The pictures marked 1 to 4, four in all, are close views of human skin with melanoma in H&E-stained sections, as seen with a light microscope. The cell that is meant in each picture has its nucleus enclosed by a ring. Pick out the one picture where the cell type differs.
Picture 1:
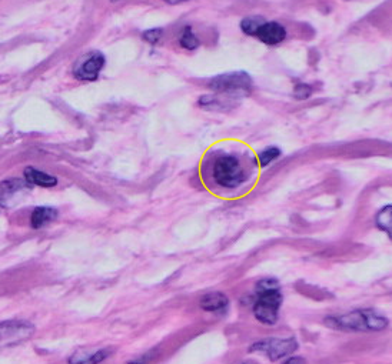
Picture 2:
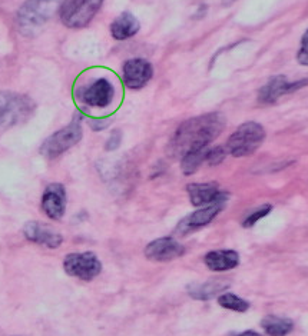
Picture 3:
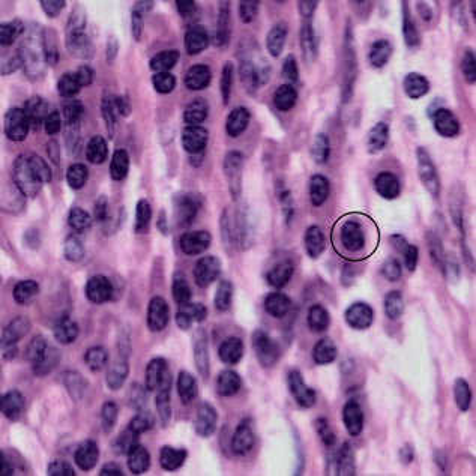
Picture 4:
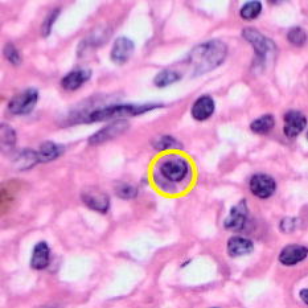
2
